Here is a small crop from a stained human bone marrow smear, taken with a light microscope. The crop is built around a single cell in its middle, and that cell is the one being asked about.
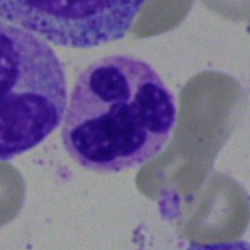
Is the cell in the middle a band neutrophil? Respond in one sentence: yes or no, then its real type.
No, calling it a band neutrophil is wrong; the middle cell is a segmented neutrophil.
